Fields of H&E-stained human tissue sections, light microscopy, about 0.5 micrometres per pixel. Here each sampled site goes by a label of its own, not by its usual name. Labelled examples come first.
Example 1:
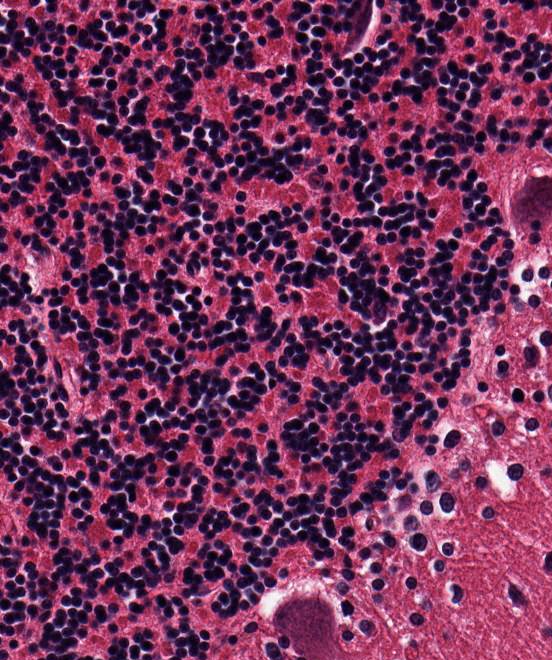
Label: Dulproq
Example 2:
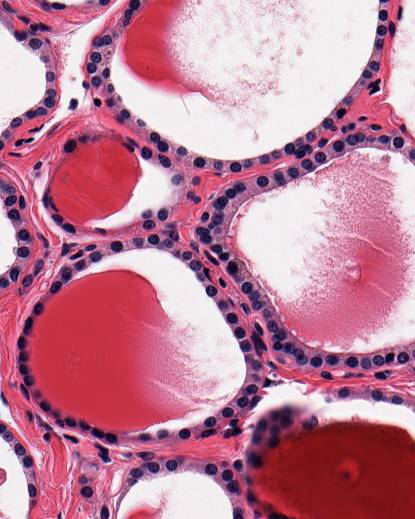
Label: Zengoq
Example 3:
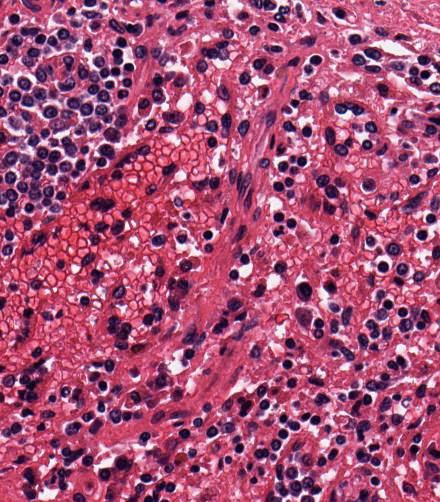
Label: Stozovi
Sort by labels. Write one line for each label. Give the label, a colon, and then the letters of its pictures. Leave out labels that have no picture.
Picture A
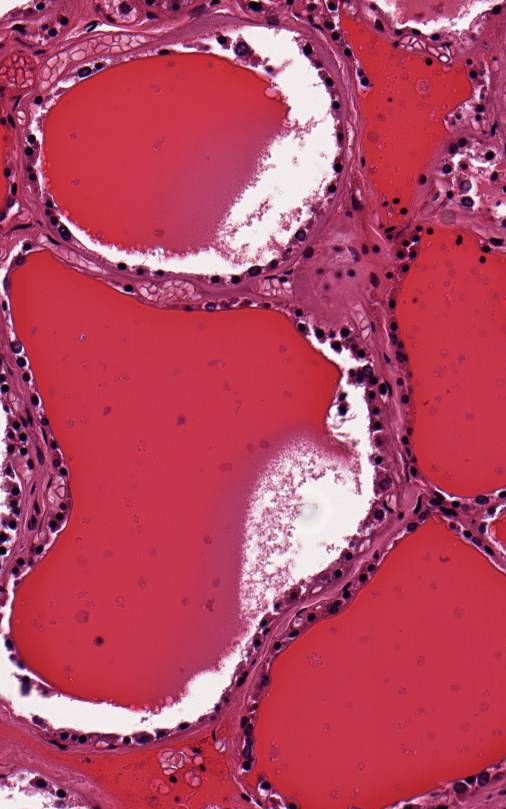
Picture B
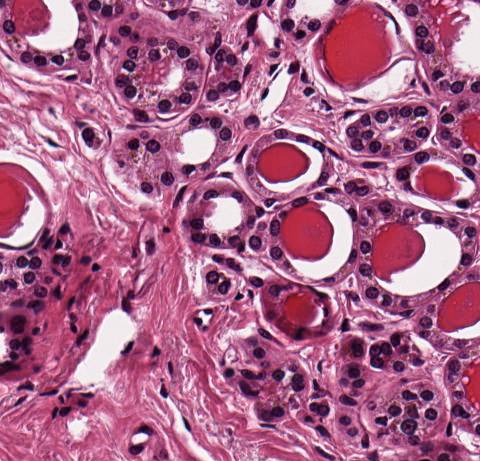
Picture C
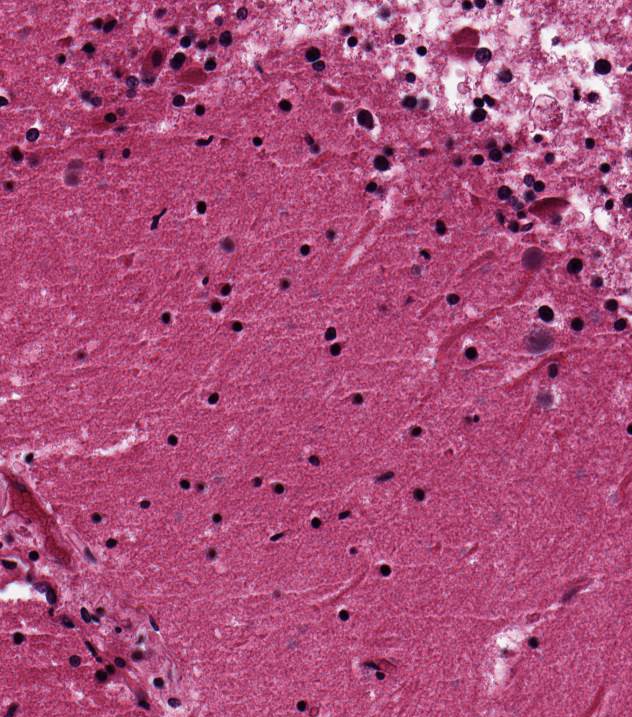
Dulproq: C
Zengoq: A, B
